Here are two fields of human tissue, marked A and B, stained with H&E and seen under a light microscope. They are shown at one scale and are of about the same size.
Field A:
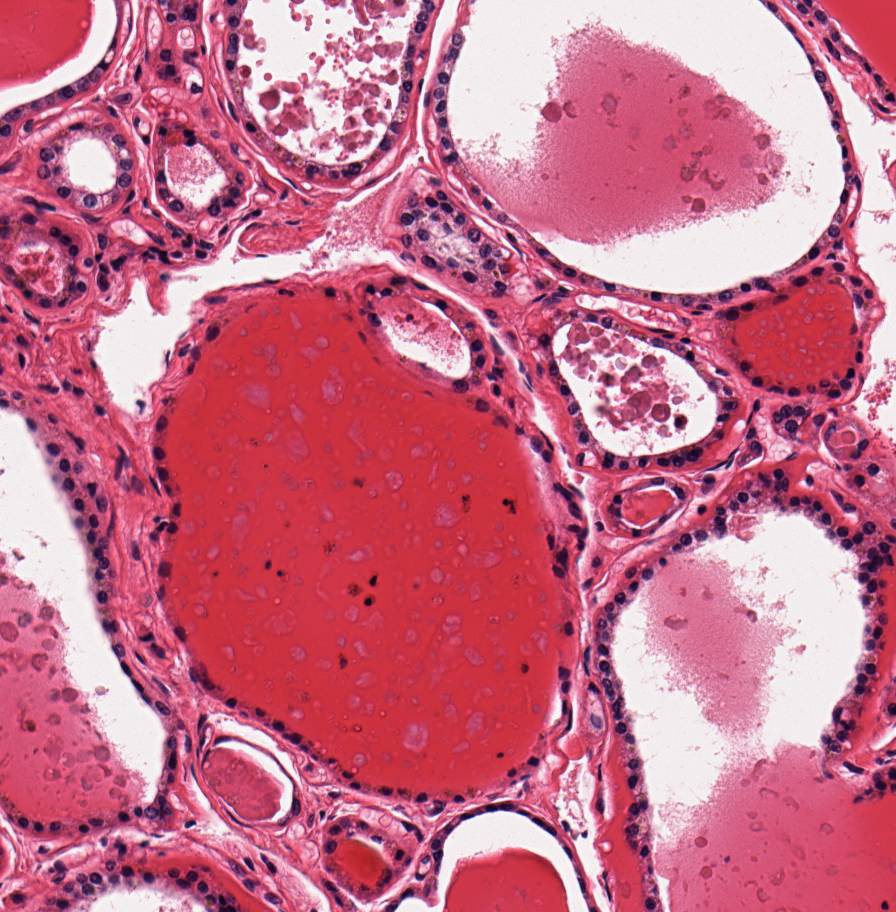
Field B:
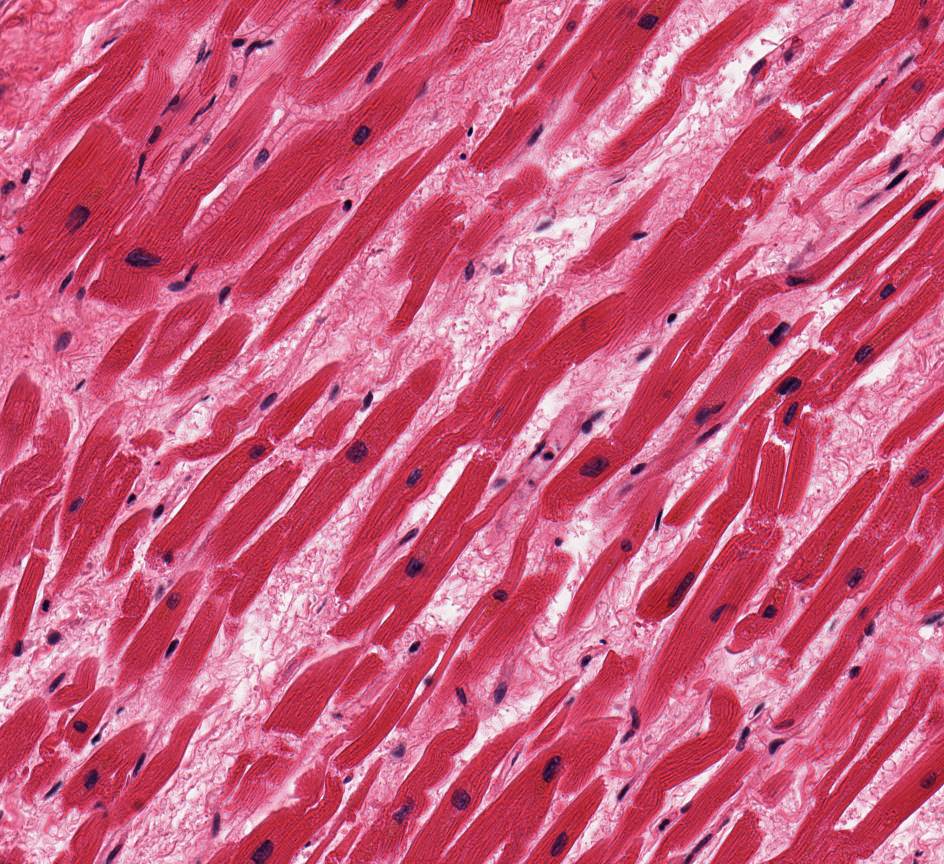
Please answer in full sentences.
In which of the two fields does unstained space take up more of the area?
More of field A is empty and white.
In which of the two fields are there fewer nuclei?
Fewer nuclei lie in field B than in field A.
